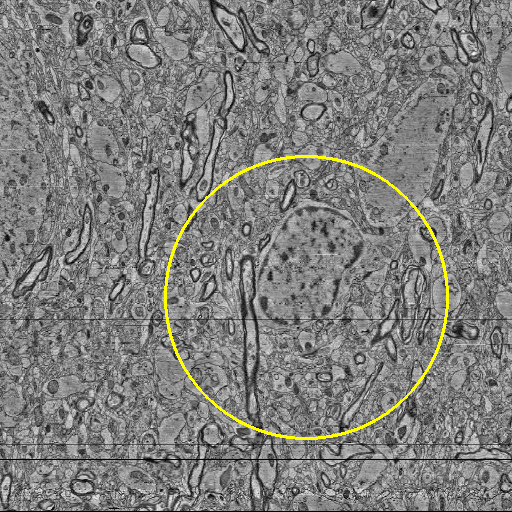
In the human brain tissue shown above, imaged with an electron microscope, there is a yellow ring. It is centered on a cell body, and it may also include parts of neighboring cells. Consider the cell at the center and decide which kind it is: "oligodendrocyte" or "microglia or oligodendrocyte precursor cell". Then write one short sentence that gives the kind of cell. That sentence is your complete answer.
This centered cell body is that of a microglial cell or oligodendrocyte precursor cell.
